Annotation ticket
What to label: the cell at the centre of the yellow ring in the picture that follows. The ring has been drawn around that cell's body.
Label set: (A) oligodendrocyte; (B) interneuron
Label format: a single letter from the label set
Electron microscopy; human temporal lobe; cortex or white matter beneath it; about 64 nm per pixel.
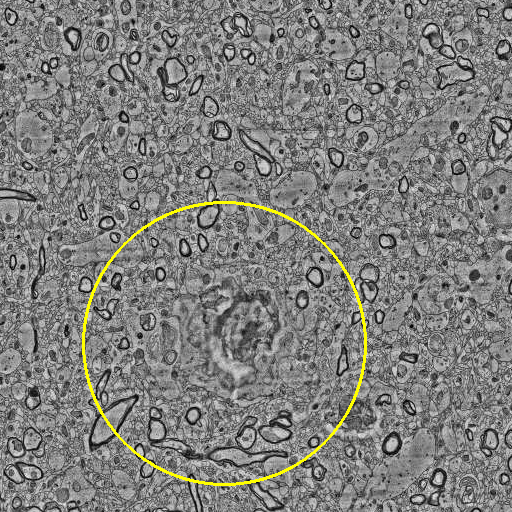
B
